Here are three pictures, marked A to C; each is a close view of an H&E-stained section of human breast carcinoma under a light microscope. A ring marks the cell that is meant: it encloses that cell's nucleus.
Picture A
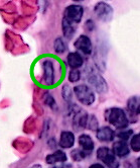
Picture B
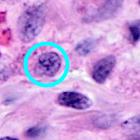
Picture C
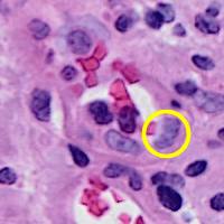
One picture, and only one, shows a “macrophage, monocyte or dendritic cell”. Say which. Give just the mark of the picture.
B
